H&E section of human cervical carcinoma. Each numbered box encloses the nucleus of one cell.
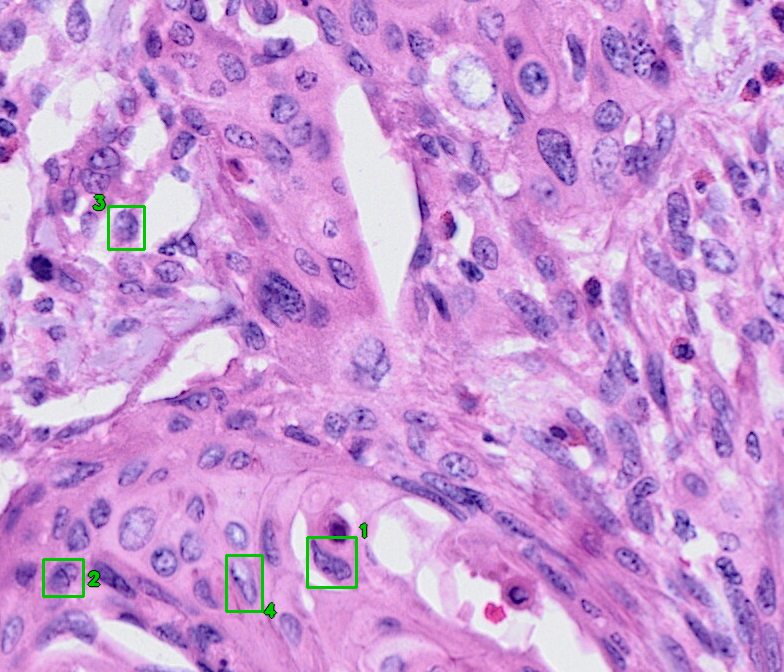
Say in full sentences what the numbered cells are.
Cell 1 is a squamous carcinoma cell, cell 2 is a squamous carcinoma cell, cell 3 is a macrophage or monocyte and cell 4 is a squamous carcinoma cell.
